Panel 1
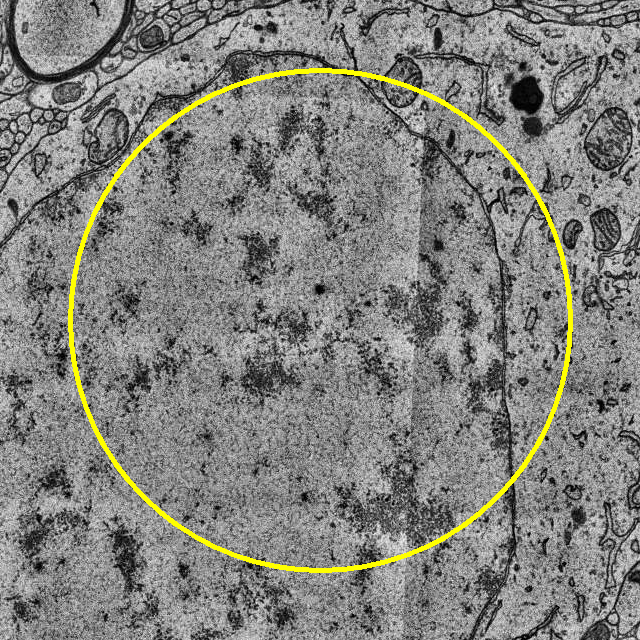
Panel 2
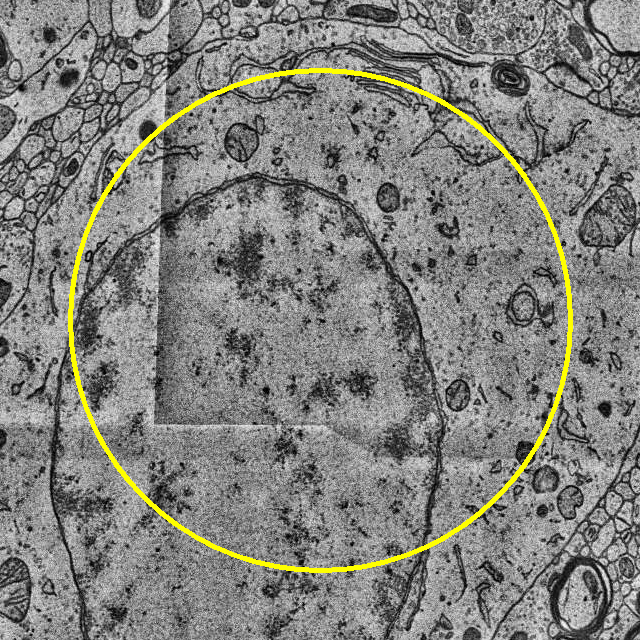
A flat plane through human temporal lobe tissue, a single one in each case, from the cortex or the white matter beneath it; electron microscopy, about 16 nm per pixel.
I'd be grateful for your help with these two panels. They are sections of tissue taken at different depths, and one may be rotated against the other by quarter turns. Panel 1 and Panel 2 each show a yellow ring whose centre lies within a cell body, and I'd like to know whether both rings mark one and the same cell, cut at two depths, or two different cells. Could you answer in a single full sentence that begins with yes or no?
Yes, the same cell turns up inside each of the two rings.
